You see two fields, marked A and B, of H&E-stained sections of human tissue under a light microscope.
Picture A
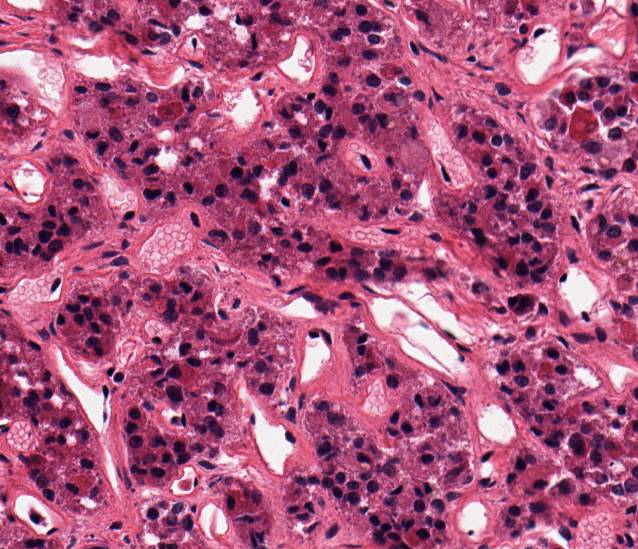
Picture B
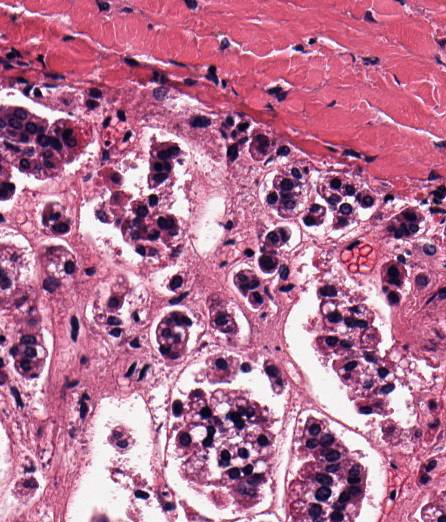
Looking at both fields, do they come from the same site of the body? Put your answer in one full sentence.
No. Picture A comes from the pituitary, whereas picture B comes from the adrenal gland.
